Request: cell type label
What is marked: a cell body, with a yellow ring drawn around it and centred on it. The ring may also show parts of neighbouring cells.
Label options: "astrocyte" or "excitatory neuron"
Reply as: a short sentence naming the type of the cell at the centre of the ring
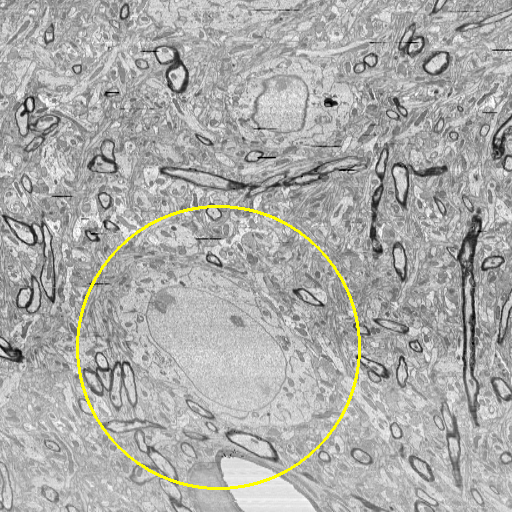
The marked cell body is that of an excitatory neuron.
